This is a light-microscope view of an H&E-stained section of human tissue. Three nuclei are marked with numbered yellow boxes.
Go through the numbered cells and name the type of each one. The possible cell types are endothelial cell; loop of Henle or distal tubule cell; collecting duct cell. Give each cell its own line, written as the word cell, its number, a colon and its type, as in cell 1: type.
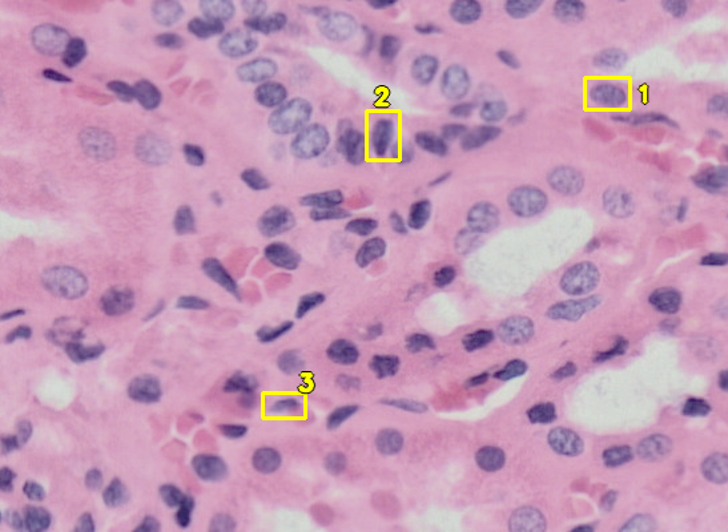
cell 1: loop of Henle or distal tubule cell
cell 2: collecting duct cell
cell 3: endothelial cell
